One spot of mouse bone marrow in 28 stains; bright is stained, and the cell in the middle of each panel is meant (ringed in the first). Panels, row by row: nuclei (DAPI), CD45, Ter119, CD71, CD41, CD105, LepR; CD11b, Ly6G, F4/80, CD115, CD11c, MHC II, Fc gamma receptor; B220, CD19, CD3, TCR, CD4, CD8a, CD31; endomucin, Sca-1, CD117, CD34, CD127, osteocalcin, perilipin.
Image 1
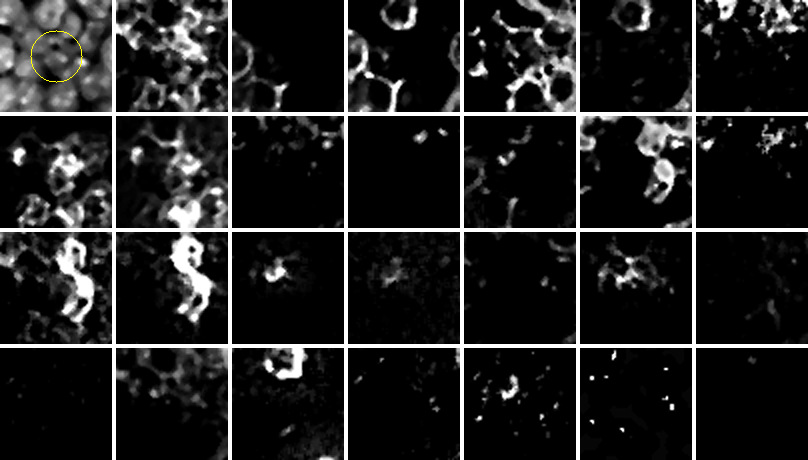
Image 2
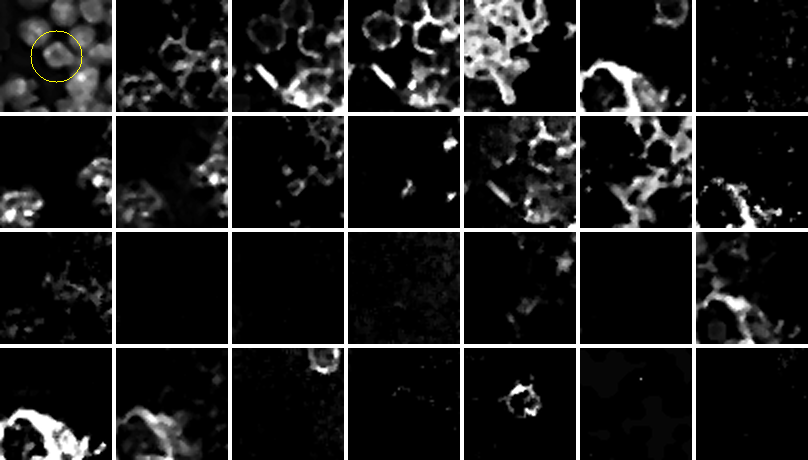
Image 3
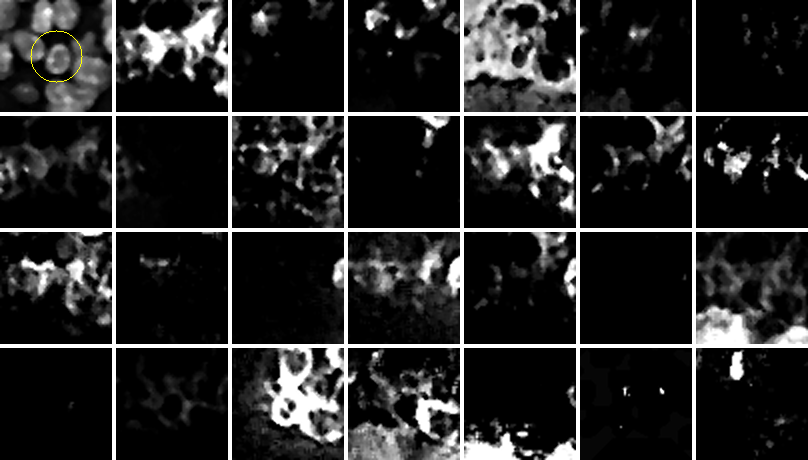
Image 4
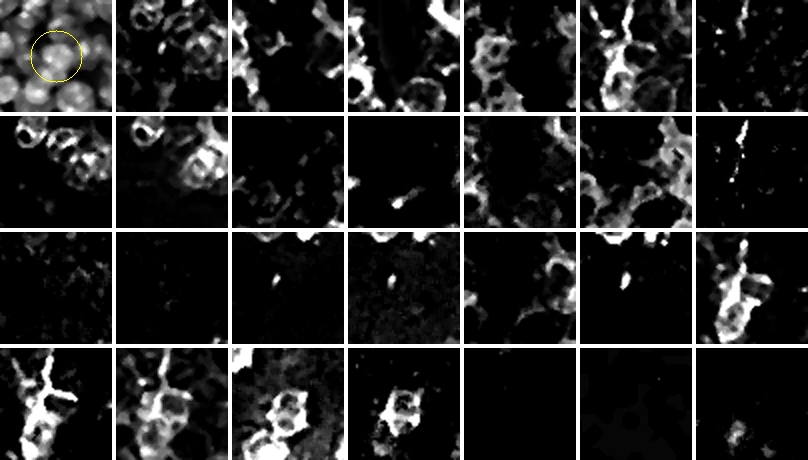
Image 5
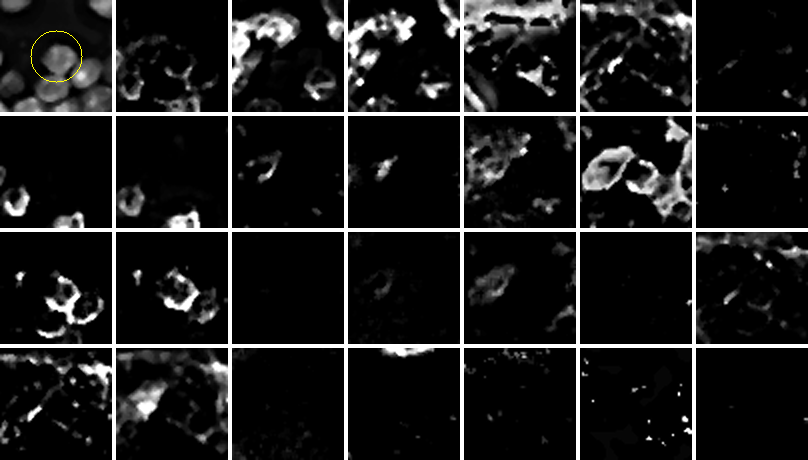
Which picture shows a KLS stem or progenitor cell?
Picture 4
